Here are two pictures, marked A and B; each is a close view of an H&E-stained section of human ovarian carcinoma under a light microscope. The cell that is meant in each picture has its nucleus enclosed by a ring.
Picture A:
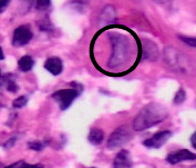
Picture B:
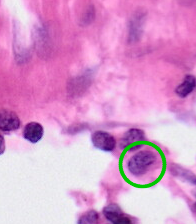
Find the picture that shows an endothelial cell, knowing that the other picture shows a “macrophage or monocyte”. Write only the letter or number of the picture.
A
